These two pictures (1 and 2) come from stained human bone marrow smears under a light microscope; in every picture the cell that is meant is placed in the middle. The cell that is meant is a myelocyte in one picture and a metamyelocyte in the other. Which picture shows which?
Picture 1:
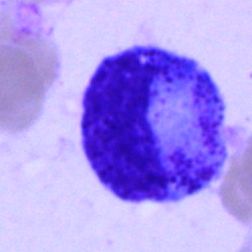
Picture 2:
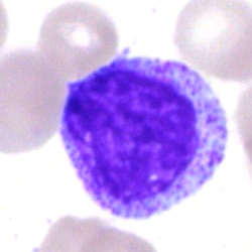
1: metamyelocyte
2: myelocyte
